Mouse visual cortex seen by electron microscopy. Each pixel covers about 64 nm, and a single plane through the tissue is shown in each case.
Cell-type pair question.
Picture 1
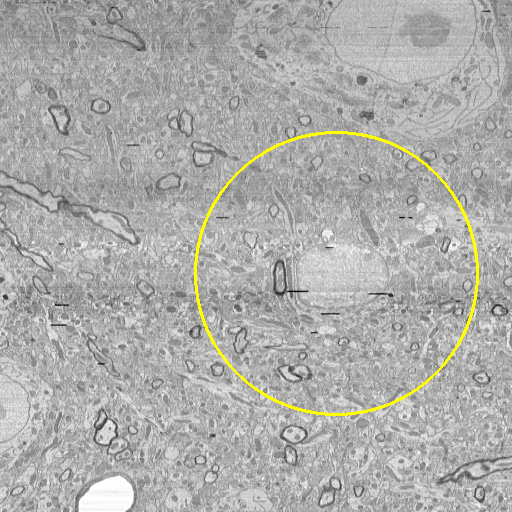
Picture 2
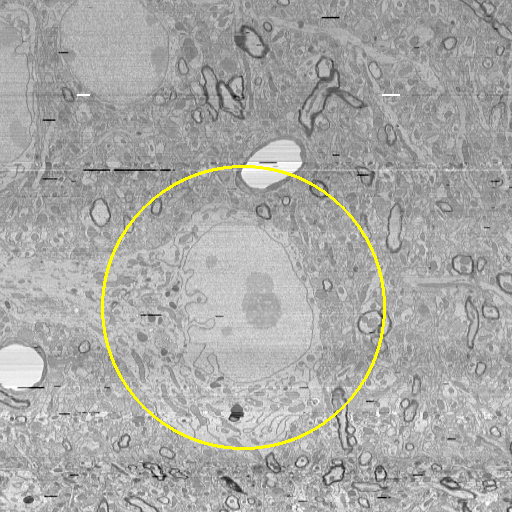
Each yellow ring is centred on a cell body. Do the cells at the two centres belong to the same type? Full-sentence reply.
No, the two cells belong to two types.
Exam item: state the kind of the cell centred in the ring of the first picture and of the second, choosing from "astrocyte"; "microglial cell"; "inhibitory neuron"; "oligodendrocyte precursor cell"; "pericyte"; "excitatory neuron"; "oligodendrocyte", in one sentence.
The first picture shows an astrocyte at the ring centre and the second shows an excitatory neuron.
